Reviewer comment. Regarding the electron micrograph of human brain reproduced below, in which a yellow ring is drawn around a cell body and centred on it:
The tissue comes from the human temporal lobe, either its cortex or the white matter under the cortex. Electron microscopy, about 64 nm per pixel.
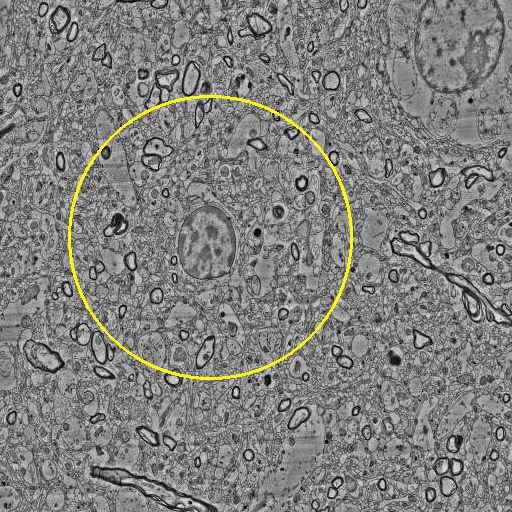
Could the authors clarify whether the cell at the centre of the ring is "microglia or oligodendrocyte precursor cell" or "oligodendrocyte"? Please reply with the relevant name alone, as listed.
microglia or oligodendrocyte precursor cell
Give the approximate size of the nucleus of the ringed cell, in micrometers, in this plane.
About 5 by 4 micrometers for the nucleus, in this plane.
